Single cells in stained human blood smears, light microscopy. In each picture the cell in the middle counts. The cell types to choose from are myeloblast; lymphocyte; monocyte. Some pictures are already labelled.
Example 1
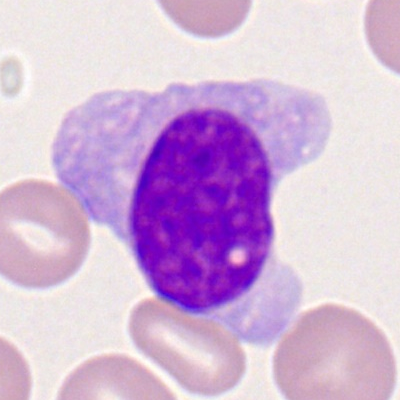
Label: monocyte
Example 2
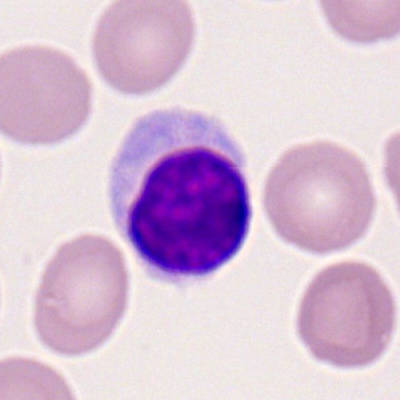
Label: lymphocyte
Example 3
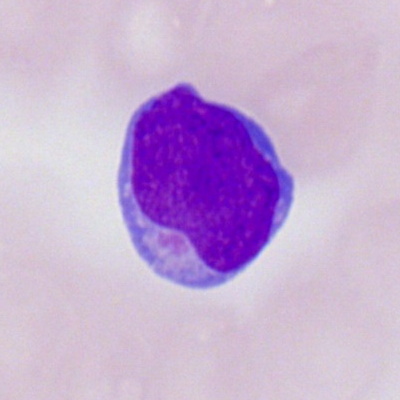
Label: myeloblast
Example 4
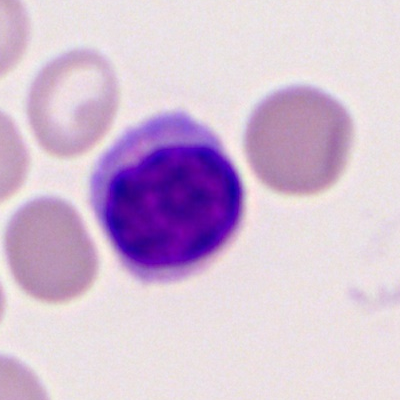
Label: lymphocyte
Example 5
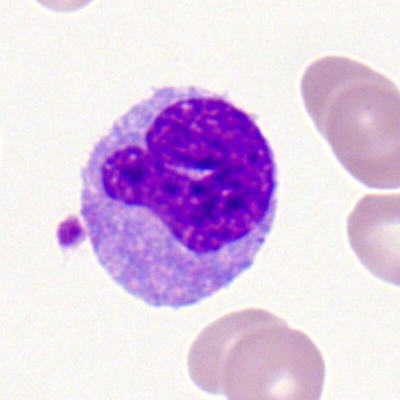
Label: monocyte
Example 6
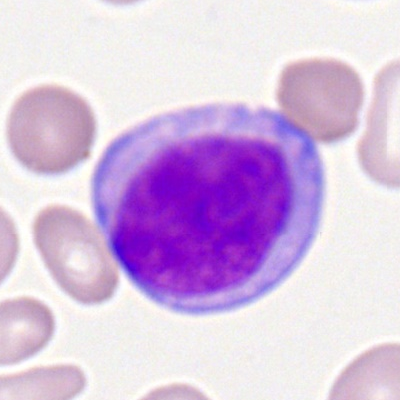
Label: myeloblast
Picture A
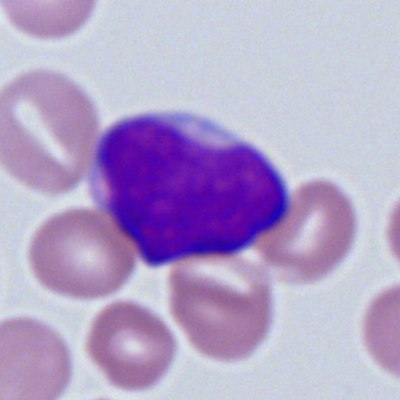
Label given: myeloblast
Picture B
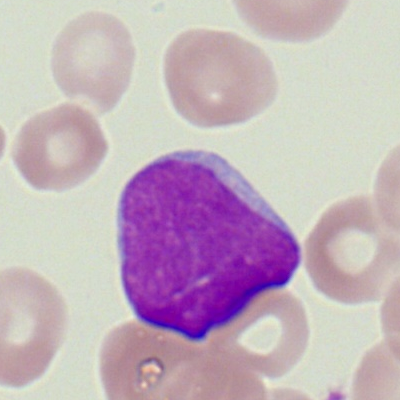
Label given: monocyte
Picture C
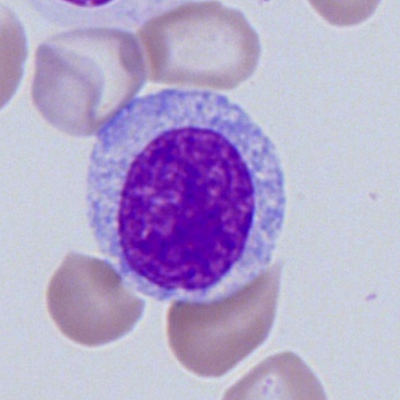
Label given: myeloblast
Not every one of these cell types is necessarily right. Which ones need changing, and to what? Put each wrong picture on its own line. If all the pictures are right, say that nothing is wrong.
B: change monocyte to myeloblast
C: change myeloblast to monocyte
